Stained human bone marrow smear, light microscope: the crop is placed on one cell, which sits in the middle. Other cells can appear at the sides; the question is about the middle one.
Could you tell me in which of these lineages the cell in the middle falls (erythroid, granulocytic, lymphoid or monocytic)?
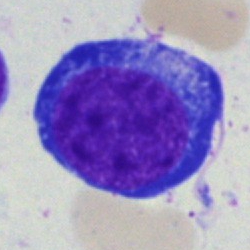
erythroid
